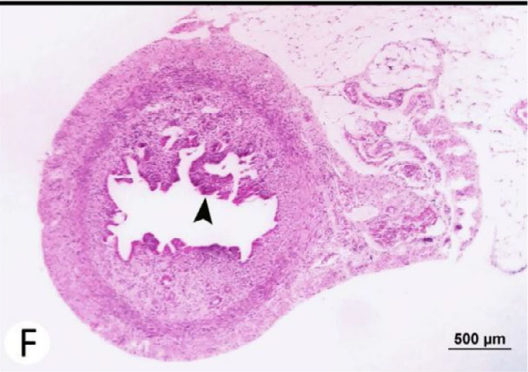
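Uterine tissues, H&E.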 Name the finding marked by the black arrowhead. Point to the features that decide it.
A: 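Irregular folds of the mucosa project into the wide lumen. The arrowhead points at one such fold.
Answer: mucosal plica formation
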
